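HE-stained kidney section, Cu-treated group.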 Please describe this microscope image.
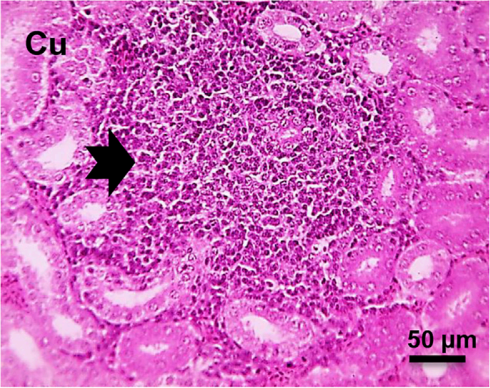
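The aggregate forms a broad, dense field of small, round, darkly purple nuclei with scant cytoplasm, packed closely together in the centre of the image. Around it lie renal tubules cut in cross and oblique section, lined by cuboidal epithelial cells with pink cytoplasm and round central nuclei, and with open pale lumina. The tubules at the edge of the aggregate are surrounded and pushed apart by the infiltrating cells.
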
